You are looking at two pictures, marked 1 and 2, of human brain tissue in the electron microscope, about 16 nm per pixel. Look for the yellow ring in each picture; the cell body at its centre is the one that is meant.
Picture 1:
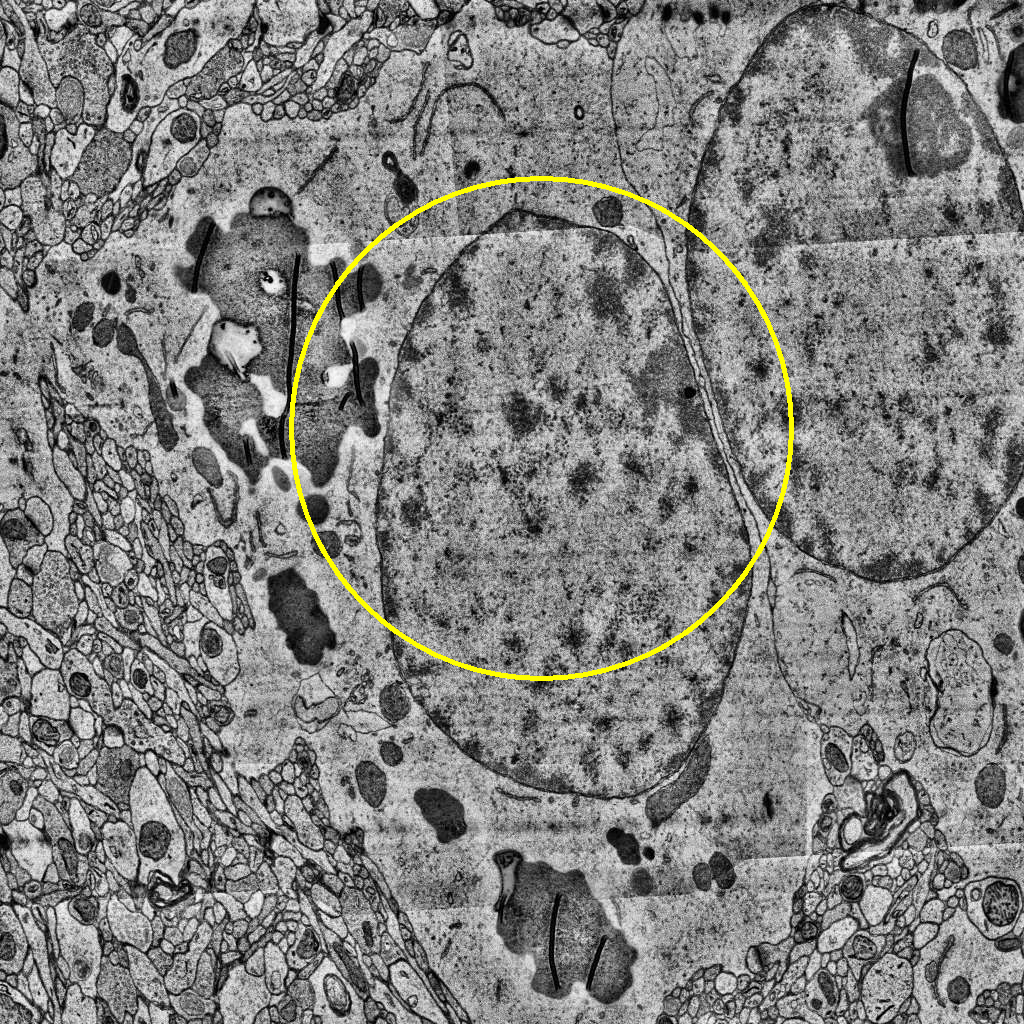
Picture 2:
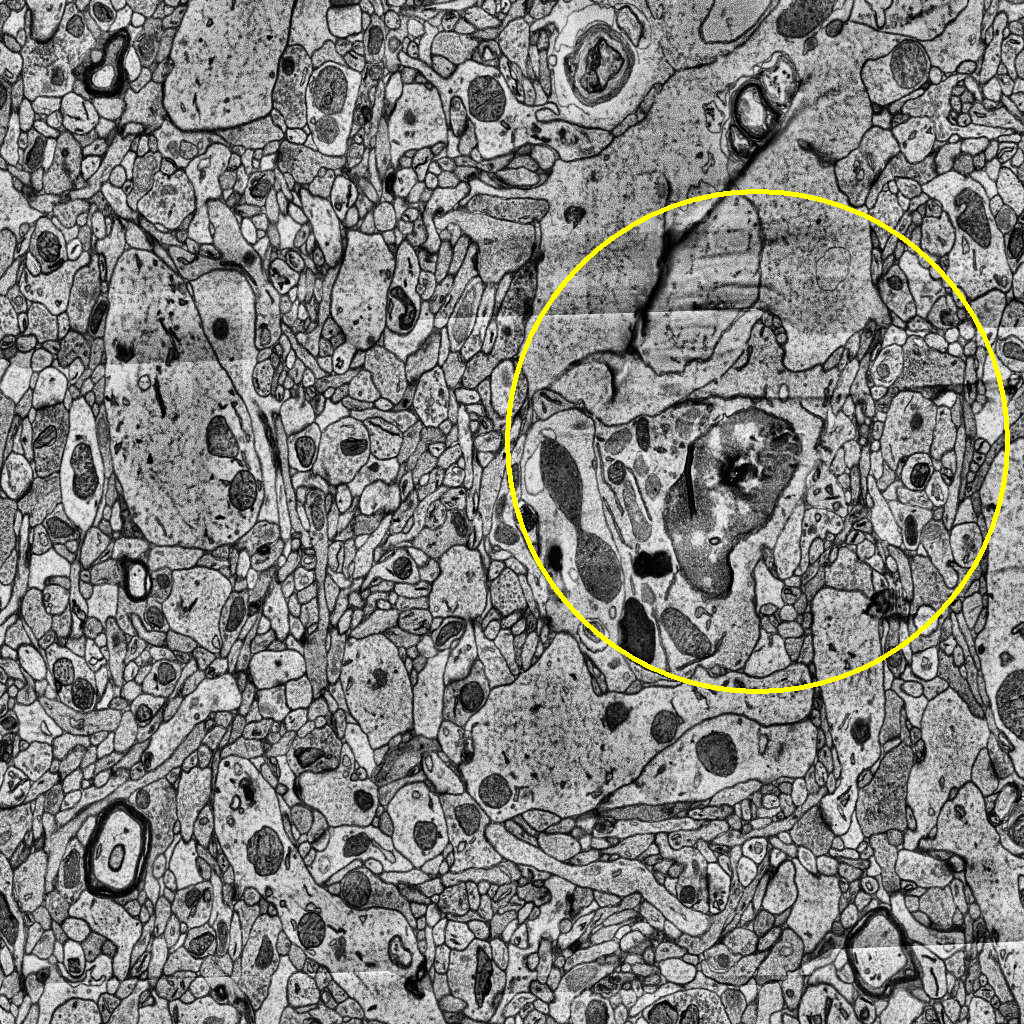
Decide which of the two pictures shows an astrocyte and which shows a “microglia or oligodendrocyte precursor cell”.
It is picture 1 that shows an astrocyte, and picture 2 that shows a “microglia or oligodendrocyte precursor cell”.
